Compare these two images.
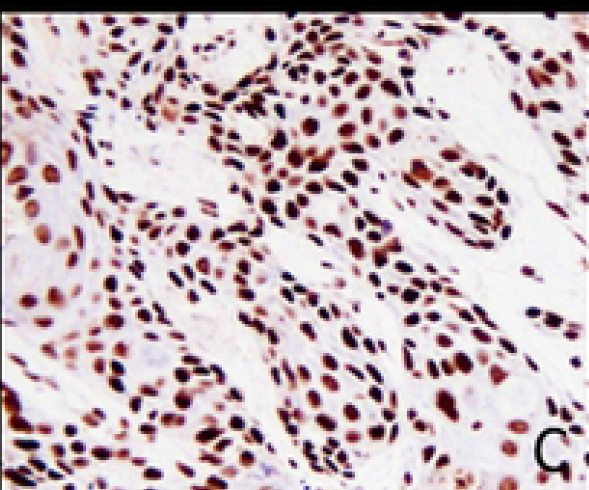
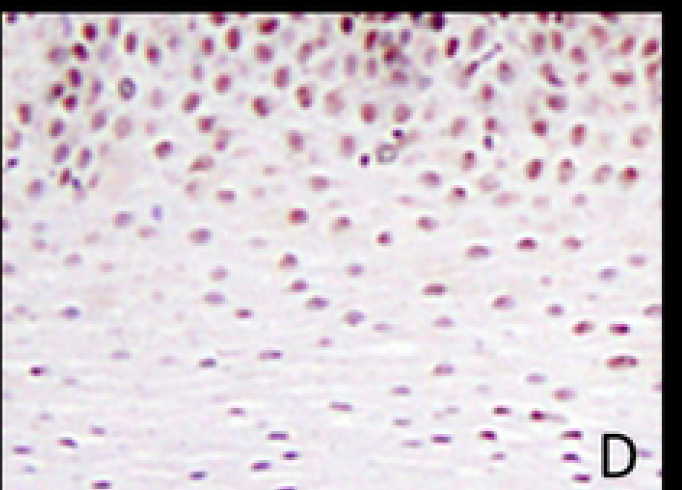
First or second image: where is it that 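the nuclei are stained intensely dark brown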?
The first image.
